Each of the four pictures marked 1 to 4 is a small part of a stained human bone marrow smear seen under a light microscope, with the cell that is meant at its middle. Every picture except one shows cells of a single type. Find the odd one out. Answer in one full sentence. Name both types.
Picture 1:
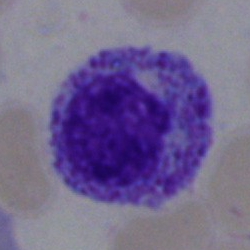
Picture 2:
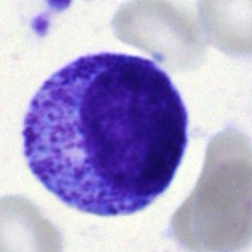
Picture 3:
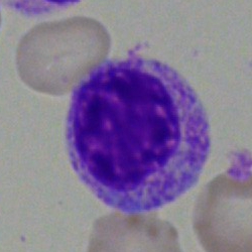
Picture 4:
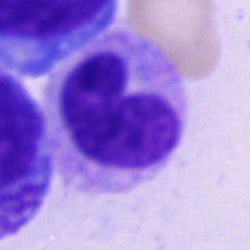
Picture 4 is the odd one out: it shows a metamyelocyte, while the others show myelocytes.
